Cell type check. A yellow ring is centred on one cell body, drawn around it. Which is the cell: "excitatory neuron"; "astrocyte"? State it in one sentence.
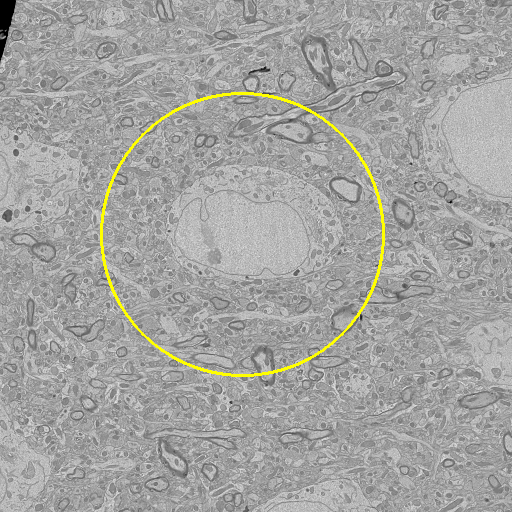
The cell body at the ring's centre belongs to an excitatory neuron.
